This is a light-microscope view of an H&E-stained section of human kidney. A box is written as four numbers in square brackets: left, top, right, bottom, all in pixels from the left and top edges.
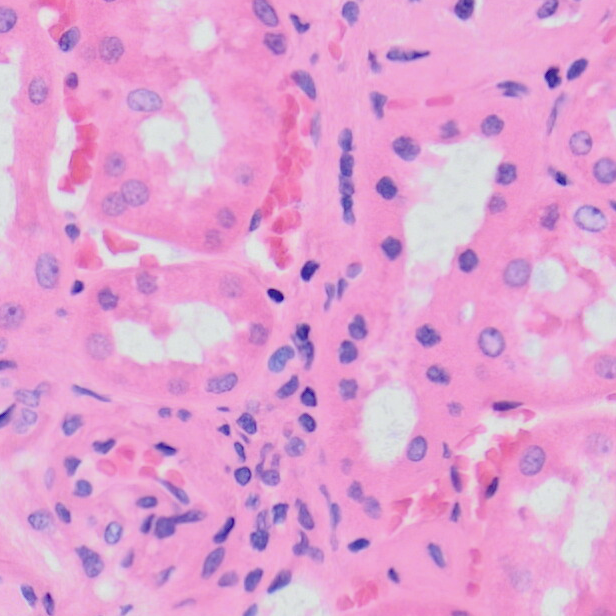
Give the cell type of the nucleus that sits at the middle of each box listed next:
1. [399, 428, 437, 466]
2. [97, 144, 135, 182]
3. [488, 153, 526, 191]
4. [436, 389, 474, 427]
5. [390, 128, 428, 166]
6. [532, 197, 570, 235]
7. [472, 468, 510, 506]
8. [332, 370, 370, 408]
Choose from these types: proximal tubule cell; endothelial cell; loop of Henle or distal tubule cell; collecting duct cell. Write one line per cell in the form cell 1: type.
cell 1: loop of Henle or distal tubule cell
cell 2: proximal tubule cell
cell 3: loop of Henle or distal tubule cell
cell 4: loop of Henle or distal tubule cell
cell 5: loop of Henle or distal tubule cell
cell 6: proximal tubule cell
cell 7: endothelial cell
cell 8: loop of Henle or distal tubule cell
